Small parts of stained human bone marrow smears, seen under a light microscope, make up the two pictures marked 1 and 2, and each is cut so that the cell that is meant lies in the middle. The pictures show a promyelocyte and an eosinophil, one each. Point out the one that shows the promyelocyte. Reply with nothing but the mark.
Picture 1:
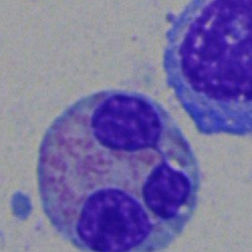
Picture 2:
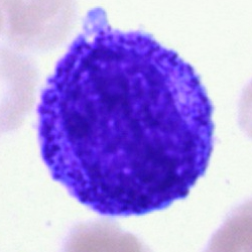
2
